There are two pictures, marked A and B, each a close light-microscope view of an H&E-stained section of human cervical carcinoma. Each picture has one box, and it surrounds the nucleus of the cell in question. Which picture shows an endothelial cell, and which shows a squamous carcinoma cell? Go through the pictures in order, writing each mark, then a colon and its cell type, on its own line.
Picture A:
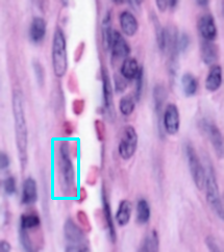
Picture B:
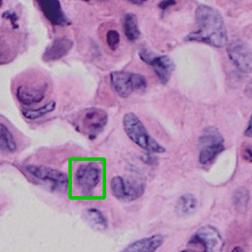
A: endothelial cell
B: squamous carcinoma cell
